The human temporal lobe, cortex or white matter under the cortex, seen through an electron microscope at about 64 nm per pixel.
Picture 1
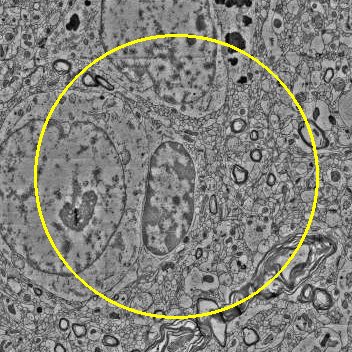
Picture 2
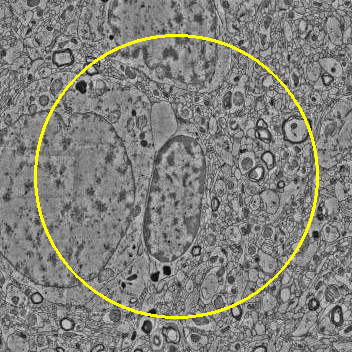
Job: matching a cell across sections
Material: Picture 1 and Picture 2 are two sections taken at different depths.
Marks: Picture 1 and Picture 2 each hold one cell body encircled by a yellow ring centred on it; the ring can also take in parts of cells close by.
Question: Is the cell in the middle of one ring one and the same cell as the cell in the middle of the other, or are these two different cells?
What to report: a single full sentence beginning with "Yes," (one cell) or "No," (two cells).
Yes, both rings are placed on a single cell.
